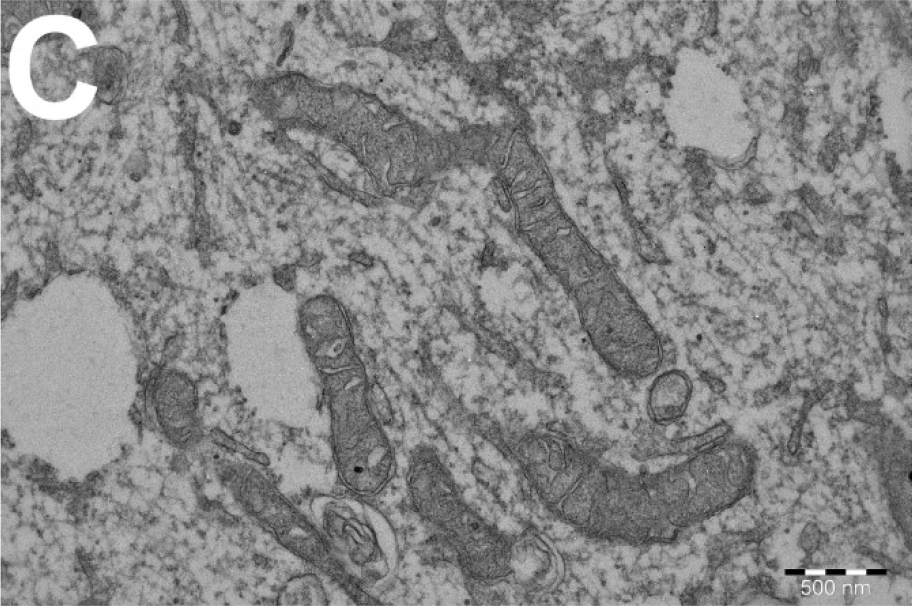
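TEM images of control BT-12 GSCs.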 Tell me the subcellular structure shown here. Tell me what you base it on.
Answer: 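Intact mitochondrial structure. Elongated organelles bounded by a continuous double membrane. Inner membrane folds cross the organelles as cristae. The organelles are not swollen and their outer membranes are unbroken.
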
